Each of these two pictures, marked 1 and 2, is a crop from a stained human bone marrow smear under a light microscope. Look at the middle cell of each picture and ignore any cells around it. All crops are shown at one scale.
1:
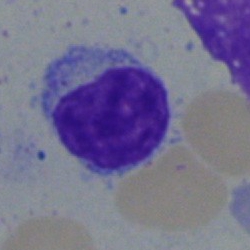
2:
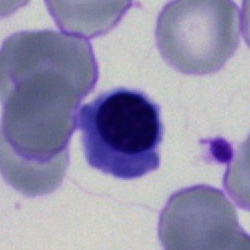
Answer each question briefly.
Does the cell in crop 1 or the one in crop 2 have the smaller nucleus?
2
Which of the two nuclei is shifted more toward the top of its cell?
2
